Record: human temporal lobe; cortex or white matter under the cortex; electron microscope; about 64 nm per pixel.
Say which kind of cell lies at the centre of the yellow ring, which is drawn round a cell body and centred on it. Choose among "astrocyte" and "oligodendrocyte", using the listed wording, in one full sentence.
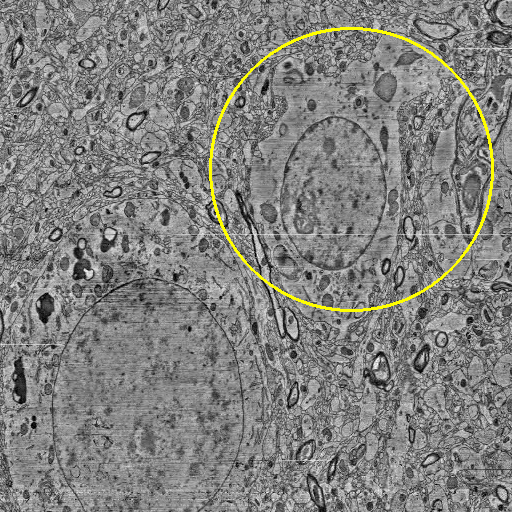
Going by the list, the cell at the yellow ring's centre is an astrocyte.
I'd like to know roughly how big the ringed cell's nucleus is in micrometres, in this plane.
Roughly 10 micrometres by 7 micrometres, so the nucleus is clearly longer than it is wide in this plane.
